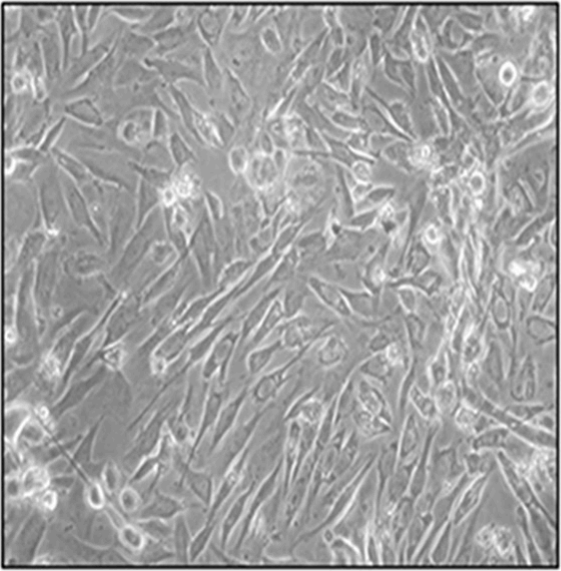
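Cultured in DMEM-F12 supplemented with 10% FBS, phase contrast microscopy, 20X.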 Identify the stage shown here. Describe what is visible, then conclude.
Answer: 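Fibroblast-like. Cells are elongated and spindle-shaped. Cells are spread flat on the dish with slender extensions.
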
